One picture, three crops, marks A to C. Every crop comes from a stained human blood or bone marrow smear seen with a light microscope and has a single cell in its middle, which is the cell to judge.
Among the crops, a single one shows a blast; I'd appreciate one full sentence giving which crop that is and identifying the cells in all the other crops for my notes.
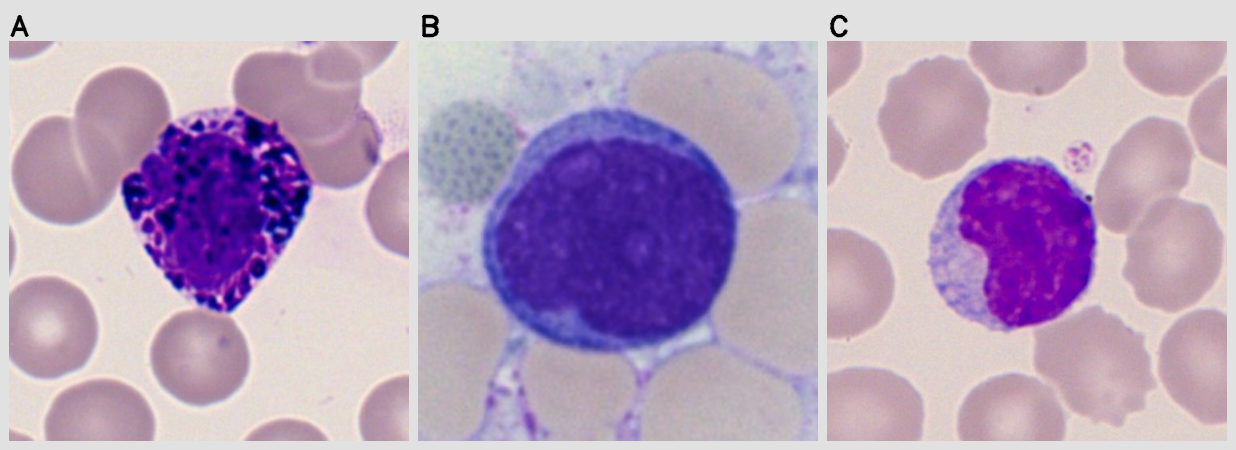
Crop B is the one showing a blast, whereas crop A is a basophil and crop C is a lymphocyte.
